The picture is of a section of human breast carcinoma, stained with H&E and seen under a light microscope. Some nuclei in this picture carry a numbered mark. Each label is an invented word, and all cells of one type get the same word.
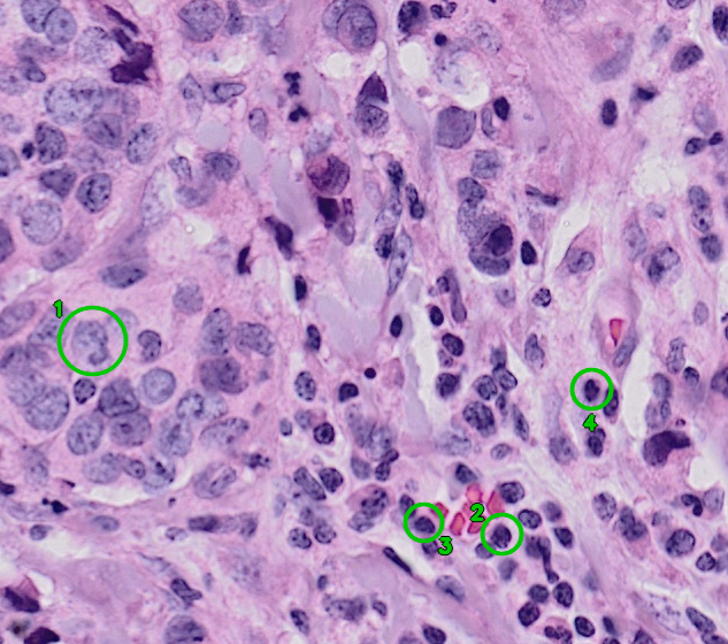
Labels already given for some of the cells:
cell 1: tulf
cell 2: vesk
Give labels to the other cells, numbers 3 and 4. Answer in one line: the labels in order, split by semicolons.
vesk; vesk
